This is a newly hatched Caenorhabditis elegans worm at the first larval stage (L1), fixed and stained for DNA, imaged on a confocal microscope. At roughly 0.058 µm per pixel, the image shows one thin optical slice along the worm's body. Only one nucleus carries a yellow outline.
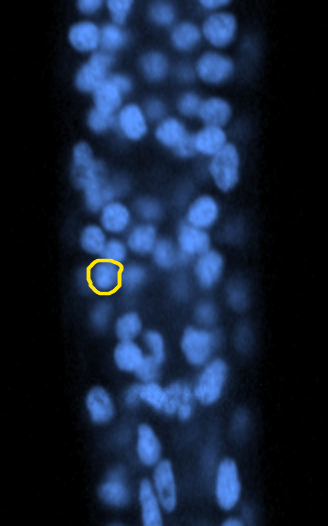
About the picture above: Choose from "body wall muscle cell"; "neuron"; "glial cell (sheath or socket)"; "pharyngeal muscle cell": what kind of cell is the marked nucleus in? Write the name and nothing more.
glial cell (sheath or socket)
